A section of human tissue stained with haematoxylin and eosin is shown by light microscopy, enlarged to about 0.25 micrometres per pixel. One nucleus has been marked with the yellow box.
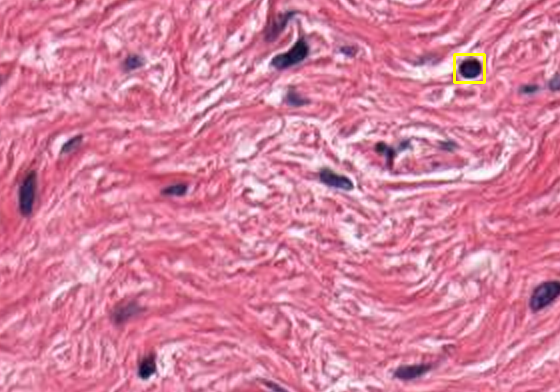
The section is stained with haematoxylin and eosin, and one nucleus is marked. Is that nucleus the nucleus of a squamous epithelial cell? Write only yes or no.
no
